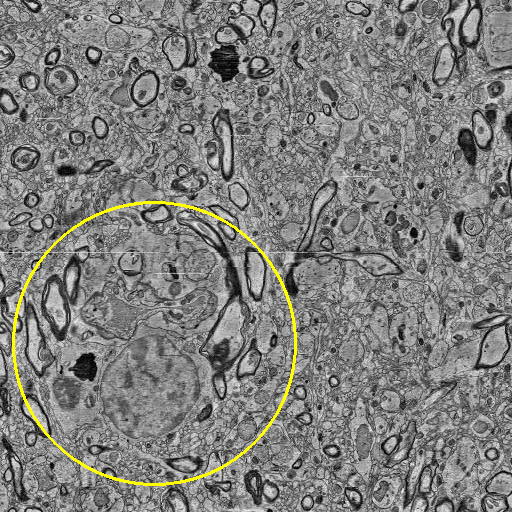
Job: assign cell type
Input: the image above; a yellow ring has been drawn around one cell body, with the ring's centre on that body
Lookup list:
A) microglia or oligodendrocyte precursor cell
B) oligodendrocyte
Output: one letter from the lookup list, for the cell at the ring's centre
B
